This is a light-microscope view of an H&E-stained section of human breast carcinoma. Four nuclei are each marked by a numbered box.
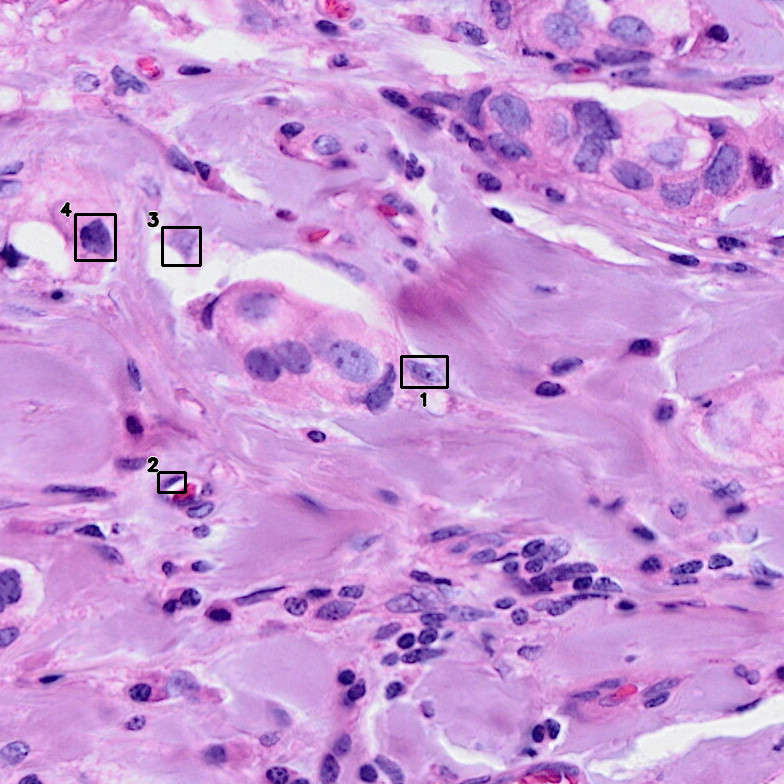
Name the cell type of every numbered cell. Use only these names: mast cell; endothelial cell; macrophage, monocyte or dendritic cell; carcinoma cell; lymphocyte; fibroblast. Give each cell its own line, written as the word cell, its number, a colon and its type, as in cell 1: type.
cell 1: fibroblast
cell 2: endothelial cell
cell 3: fibroblast
cell 4: carcinoma cell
